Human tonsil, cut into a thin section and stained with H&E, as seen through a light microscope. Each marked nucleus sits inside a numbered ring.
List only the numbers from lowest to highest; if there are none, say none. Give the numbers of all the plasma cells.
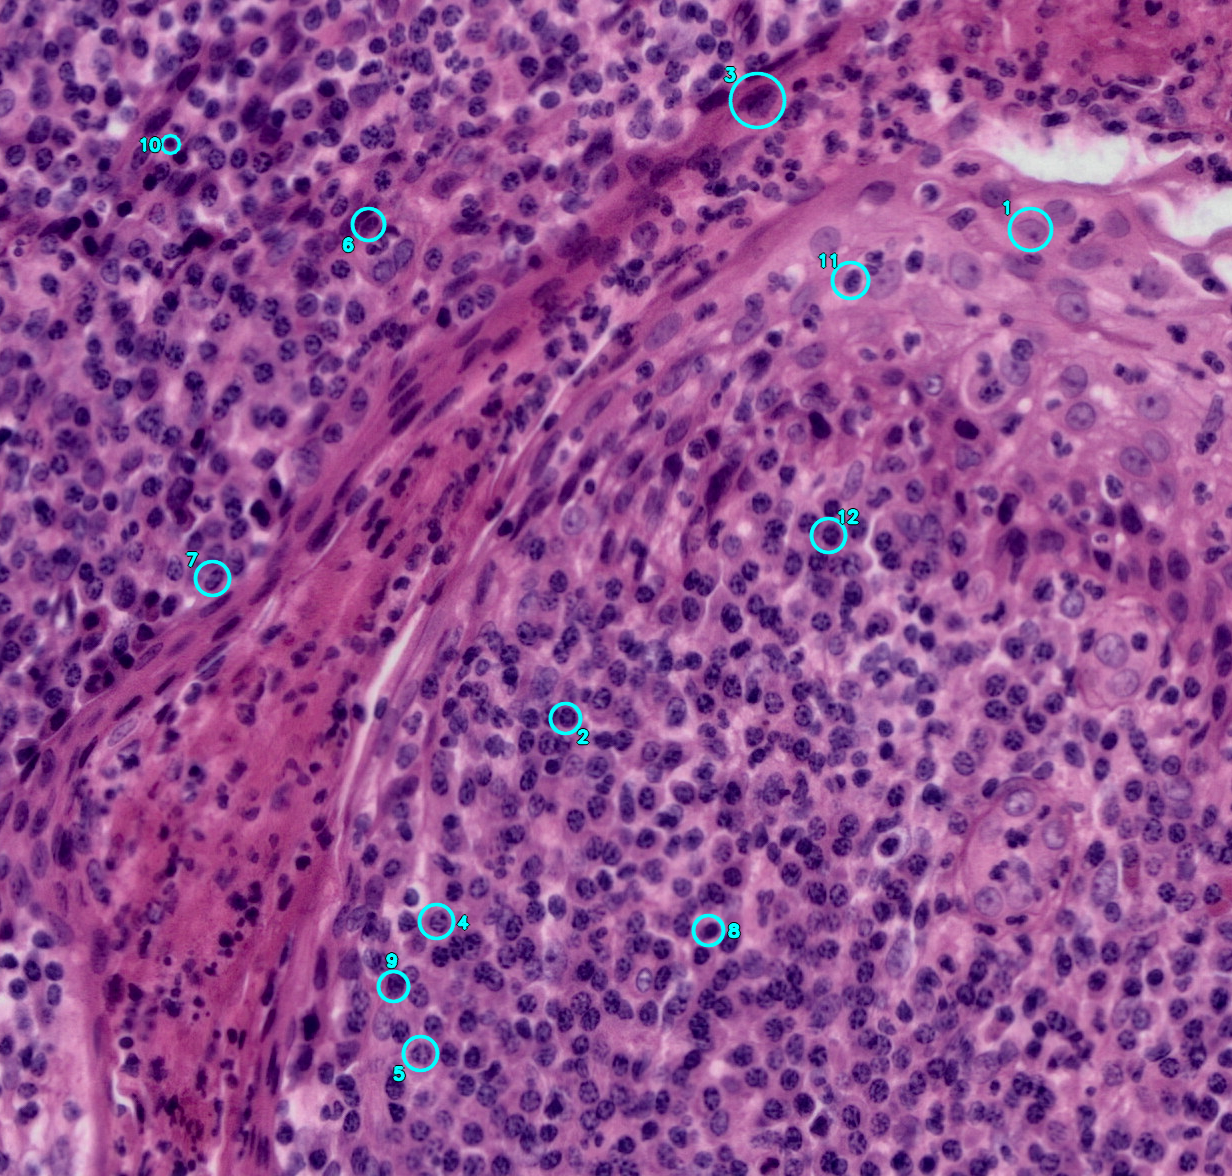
2, 4, 5, 7, 8, 9, 12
